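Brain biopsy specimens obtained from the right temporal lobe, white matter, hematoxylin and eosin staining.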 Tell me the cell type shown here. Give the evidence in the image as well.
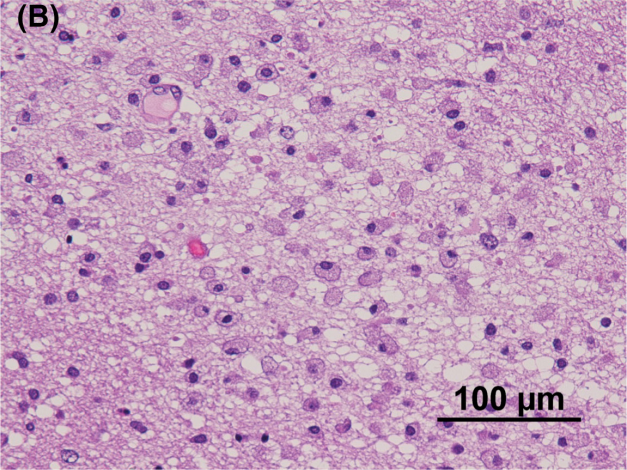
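Foamy macrophages. Many cells with round to oval nuclei and abundant pale, finely vacuolated cytoplasm.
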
